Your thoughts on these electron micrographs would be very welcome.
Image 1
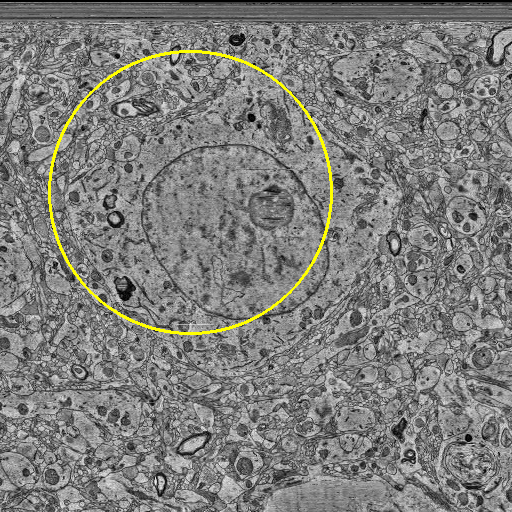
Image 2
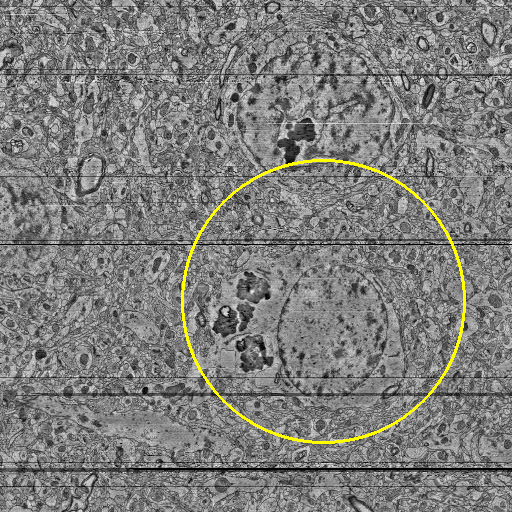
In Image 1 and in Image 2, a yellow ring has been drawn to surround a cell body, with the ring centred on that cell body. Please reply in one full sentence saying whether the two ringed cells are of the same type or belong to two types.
The ringed cells in Image 1 and Image 2 belong to two types.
